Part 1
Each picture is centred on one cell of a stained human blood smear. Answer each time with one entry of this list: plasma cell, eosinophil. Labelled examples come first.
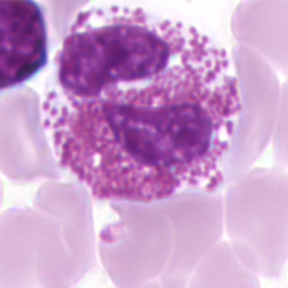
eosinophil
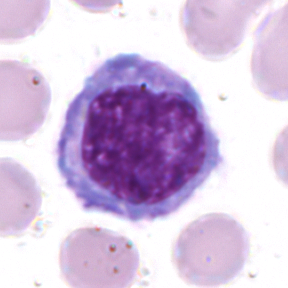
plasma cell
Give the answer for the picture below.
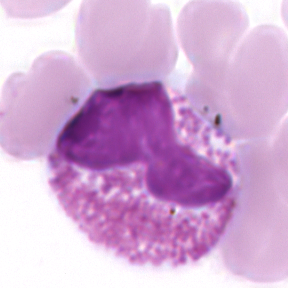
eosinophil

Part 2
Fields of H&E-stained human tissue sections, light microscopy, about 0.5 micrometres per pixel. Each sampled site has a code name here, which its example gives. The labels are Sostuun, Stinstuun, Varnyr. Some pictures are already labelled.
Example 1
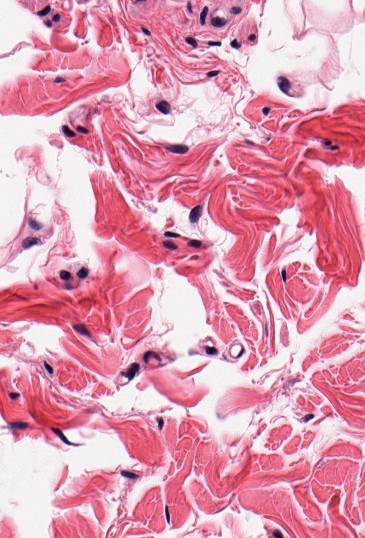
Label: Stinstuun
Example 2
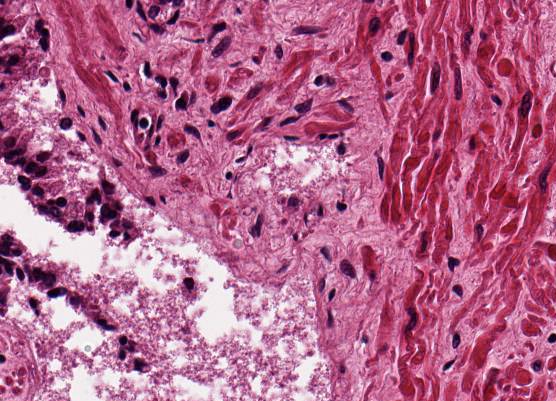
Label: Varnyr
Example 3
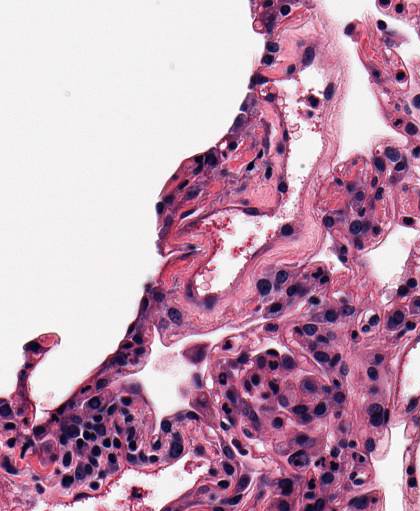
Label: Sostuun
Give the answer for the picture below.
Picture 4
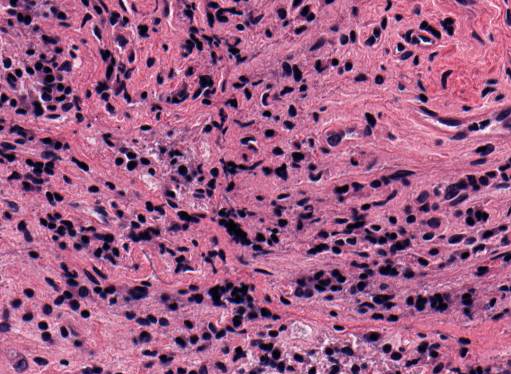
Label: Stinstuun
